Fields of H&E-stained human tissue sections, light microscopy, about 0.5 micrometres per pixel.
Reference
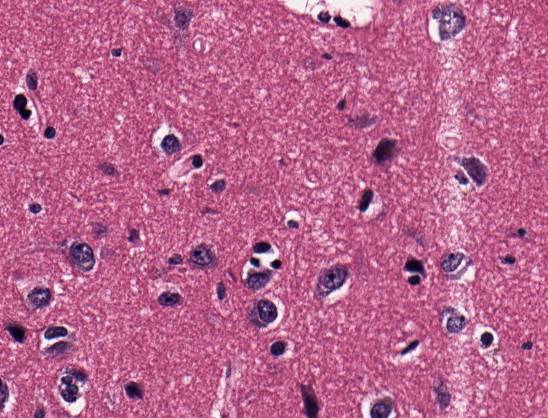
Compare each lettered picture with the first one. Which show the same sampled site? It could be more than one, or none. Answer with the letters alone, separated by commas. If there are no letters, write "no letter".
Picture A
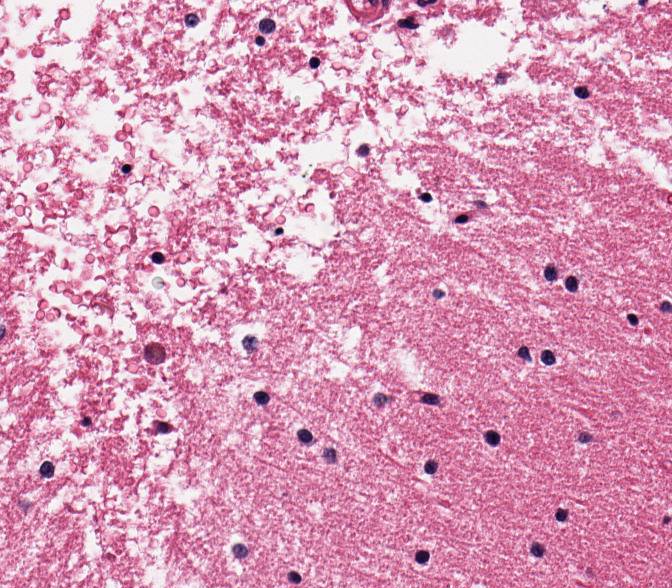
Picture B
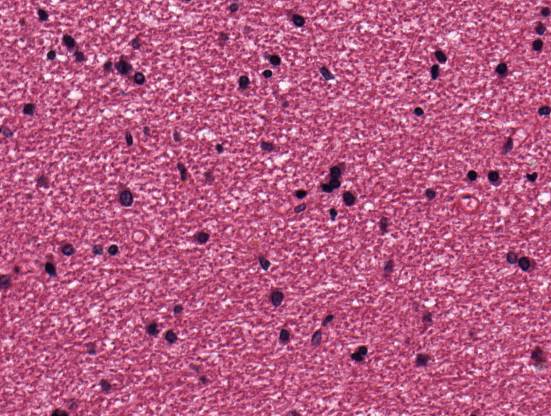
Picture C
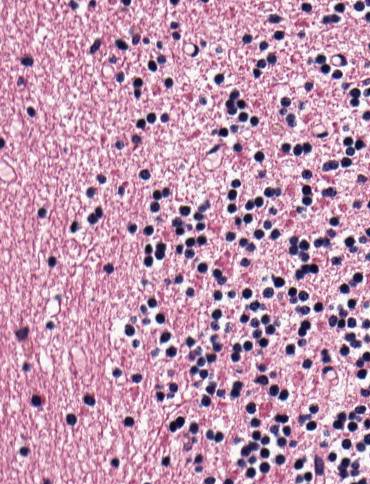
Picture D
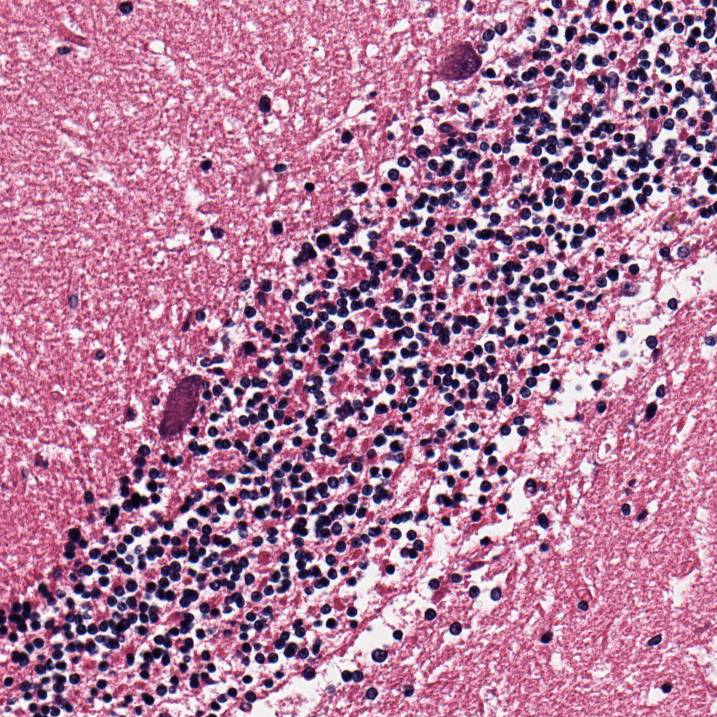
no letter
